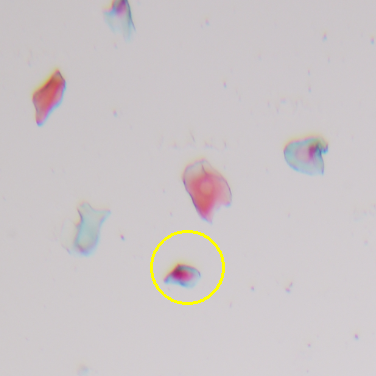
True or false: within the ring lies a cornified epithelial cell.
False: a nucleated epithelial cell lies within the ring.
